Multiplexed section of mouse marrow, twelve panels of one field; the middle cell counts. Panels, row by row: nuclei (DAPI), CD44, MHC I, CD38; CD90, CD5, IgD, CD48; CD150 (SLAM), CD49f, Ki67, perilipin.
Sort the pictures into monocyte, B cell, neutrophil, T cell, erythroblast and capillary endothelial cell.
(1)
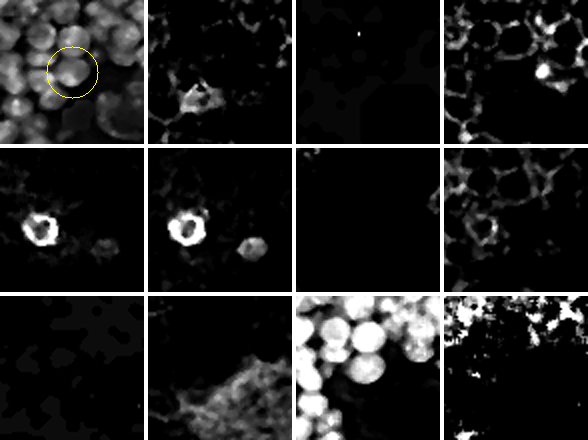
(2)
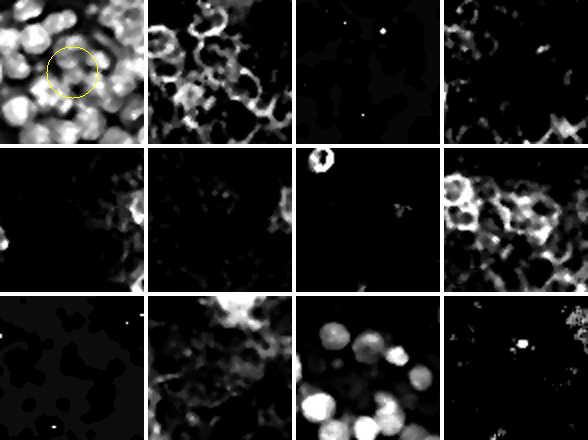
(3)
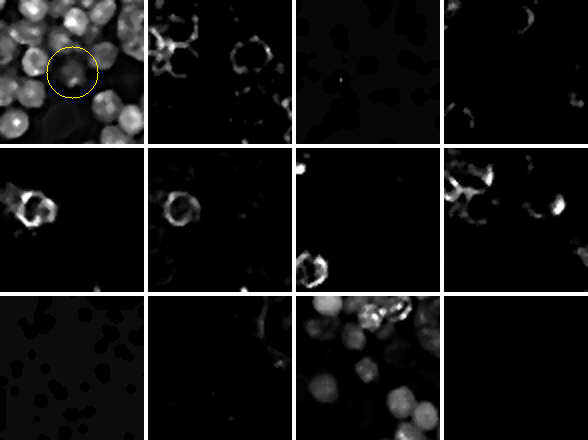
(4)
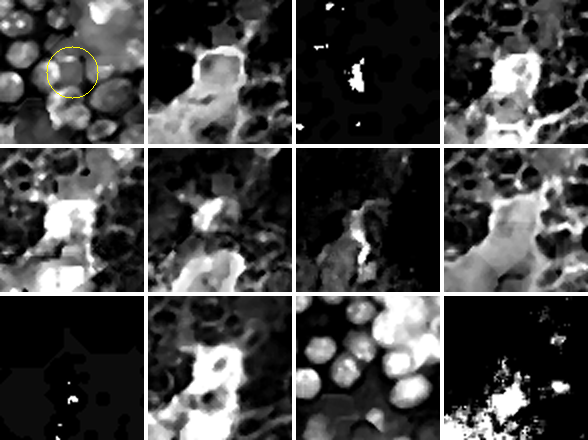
Erythroblasts: 1, 3
Monocytes: 2
Capillary endothelial cells: 4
